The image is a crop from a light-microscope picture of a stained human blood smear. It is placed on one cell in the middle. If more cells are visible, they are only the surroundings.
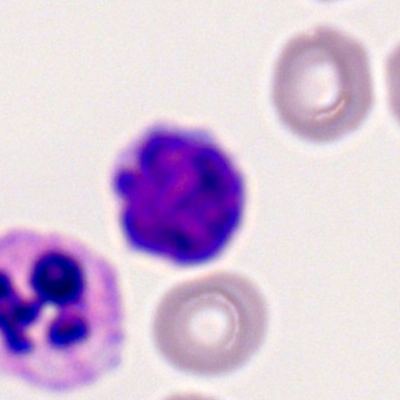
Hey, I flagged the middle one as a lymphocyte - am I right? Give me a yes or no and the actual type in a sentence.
Yes, the cell under consideration, the one in the middle, is a lymphocyte.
